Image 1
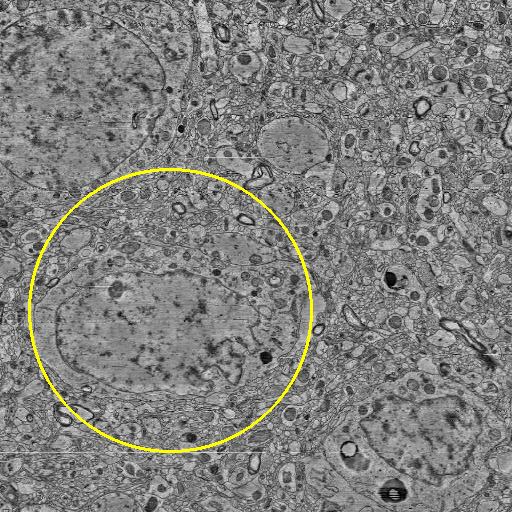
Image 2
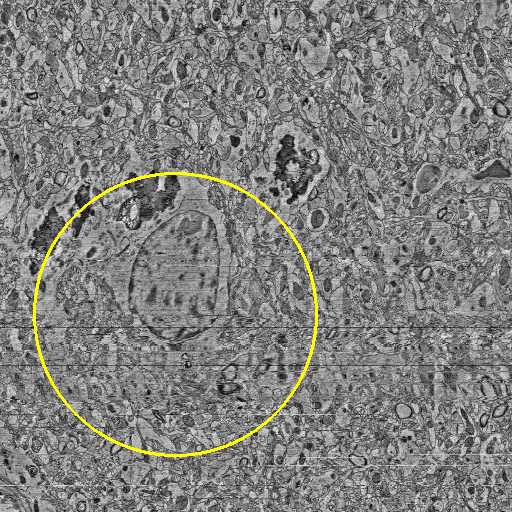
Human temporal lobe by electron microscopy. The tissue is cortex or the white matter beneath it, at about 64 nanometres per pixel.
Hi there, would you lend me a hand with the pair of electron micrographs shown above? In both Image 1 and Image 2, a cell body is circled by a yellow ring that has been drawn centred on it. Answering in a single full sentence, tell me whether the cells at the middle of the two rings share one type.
No, the ringed cells in Image 1 and Image 2 belong to two types.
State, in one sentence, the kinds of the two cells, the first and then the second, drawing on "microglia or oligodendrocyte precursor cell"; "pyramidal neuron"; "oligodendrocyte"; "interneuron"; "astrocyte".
The ring in the second picture is centred on an astrocyte, the ring in the first on an interneuron.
